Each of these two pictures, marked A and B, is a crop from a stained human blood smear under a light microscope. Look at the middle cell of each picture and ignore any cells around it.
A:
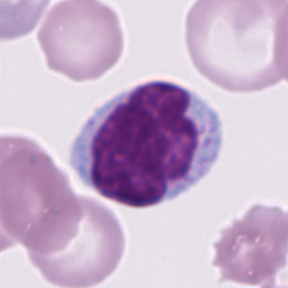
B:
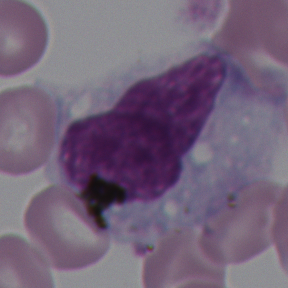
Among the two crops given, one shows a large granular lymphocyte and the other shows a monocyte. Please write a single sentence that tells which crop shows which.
The central cell of crop A is a large granular lymphocyte, and that of crop B is a monocyte.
